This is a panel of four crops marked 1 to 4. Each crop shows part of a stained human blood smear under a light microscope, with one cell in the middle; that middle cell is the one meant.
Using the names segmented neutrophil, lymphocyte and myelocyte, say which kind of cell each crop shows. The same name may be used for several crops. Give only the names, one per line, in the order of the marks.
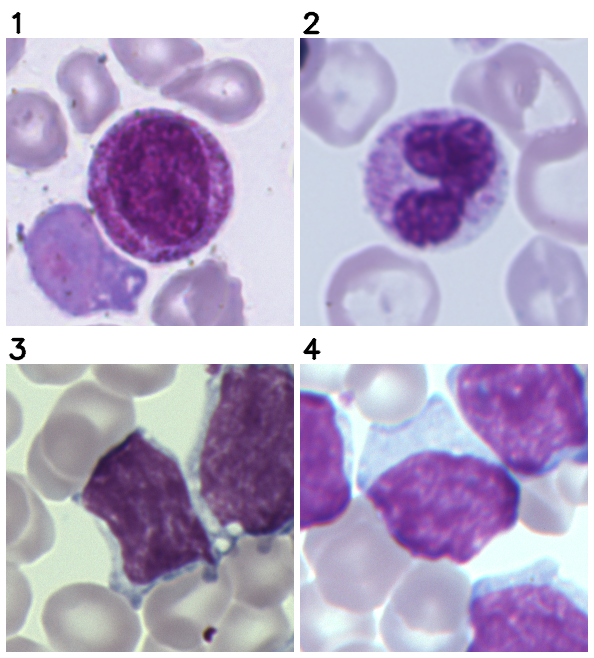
myelocyte
segmented neutrophil
lymphocyte
lymphocyte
